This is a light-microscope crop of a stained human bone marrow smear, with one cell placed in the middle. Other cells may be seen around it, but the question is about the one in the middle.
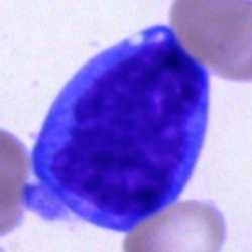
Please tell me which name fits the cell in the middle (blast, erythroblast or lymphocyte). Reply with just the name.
blast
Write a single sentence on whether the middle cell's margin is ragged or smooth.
Rather than running smoothly, the cell border is ragged or carries projections.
